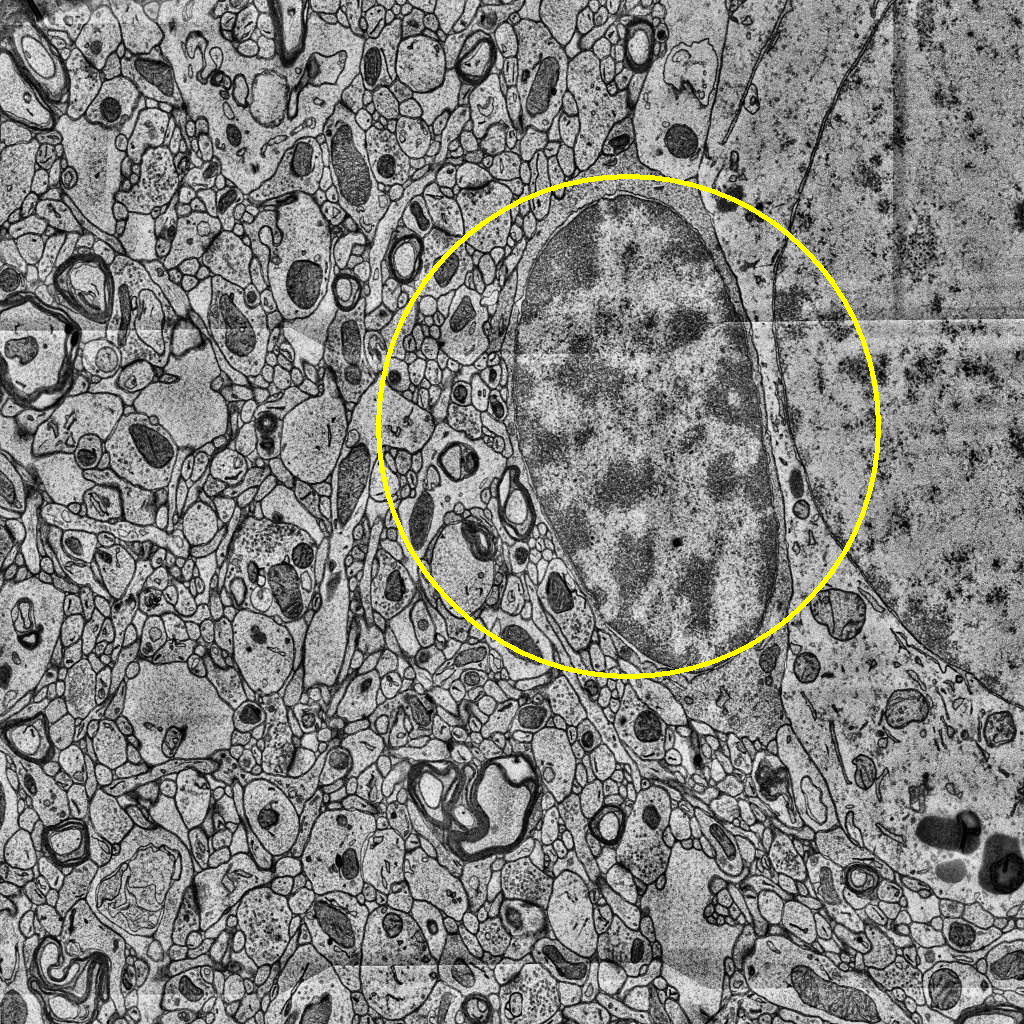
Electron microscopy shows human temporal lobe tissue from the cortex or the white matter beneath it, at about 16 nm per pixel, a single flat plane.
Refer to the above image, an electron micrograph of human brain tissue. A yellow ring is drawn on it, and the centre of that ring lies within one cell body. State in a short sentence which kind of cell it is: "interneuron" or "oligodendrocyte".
The centre of the ring falls on an oligodendrocyte.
